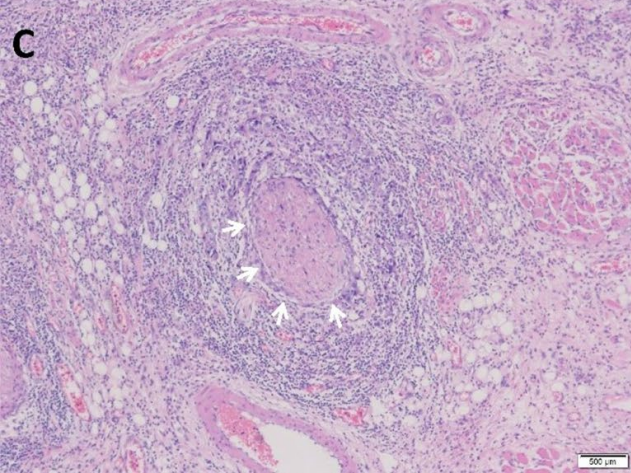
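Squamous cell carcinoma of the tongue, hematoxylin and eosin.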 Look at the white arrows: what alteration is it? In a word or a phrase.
Tumor cells invading the nerves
